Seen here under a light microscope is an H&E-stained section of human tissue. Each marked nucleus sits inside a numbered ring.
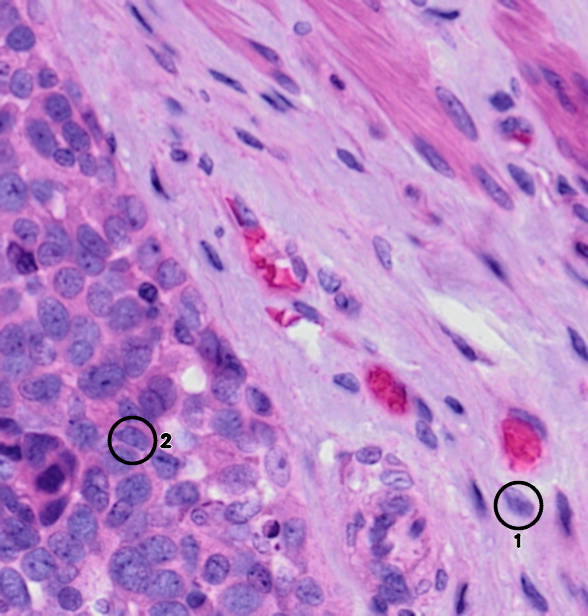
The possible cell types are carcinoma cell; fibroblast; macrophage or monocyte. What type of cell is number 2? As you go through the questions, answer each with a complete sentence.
The one labeled 2 is a carcinoma cell, to put it simply.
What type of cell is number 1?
The label 1 in this section denotes a fibroblast.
